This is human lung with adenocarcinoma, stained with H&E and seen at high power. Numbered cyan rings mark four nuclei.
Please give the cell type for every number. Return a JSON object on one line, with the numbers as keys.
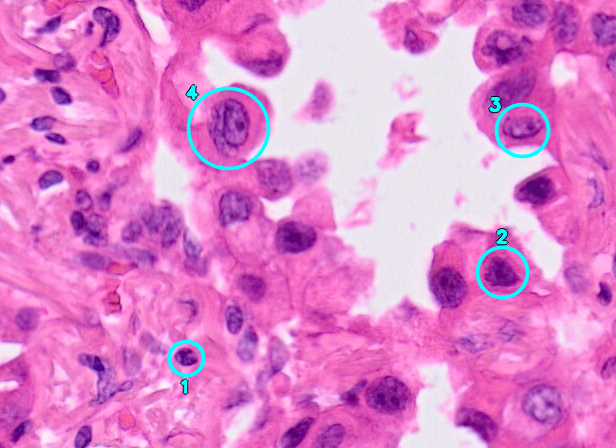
{"1": "lymphocyte", "2": "carcinoma cell", "3": "carcinoma cell", "4": "carcinoma cell"}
